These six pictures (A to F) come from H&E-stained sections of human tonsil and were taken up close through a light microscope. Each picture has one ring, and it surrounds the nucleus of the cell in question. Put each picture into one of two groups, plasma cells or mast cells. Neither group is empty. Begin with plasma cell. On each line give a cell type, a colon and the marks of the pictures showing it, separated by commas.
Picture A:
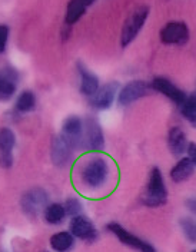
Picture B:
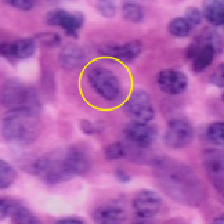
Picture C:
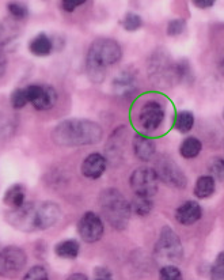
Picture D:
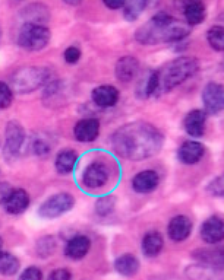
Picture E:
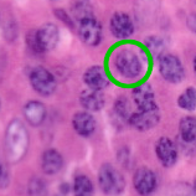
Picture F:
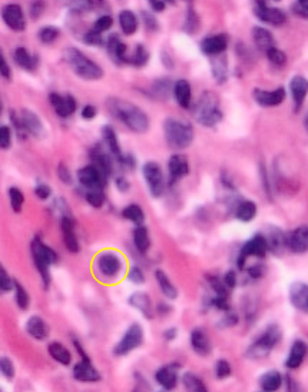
plasma cell: B, C, D, E
mast cell: A, F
